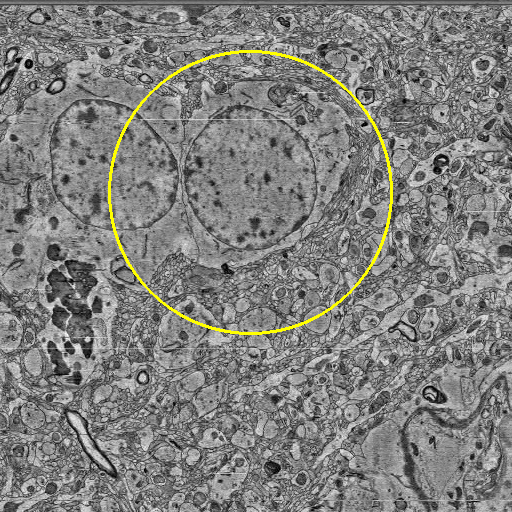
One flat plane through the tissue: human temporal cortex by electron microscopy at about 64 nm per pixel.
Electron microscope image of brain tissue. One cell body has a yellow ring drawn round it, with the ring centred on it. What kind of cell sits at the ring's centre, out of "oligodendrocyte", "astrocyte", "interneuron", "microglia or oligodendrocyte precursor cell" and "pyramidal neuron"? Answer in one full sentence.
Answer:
It is an astrocyte whose cell body sits at the centre of the yellow ring.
